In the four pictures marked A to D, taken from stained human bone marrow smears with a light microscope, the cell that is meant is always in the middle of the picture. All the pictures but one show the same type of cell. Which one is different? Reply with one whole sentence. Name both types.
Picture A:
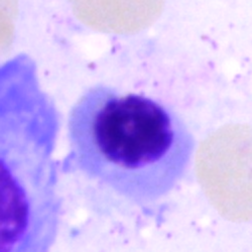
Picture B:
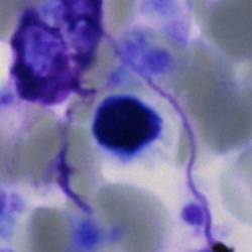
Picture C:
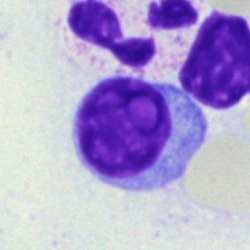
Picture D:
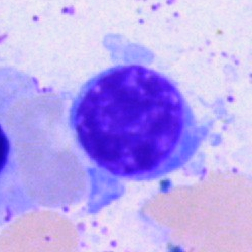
Picture A differs, because its cell is an erythroblast and the rest are lymphocytes.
